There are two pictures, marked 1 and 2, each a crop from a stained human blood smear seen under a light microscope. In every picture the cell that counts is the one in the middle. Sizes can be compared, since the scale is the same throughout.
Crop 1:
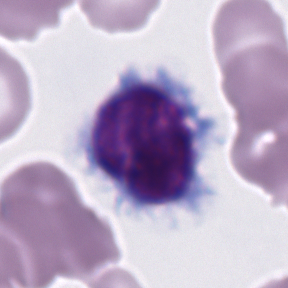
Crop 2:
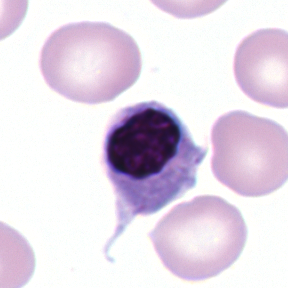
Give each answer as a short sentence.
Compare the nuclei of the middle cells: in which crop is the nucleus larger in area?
Crop 1 shows the larger nucleus; it covers about 2.5 times the area of the nucleus in crop 2.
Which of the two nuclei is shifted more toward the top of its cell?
The nucleus in crop 2 lies further toward the top of its cell.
